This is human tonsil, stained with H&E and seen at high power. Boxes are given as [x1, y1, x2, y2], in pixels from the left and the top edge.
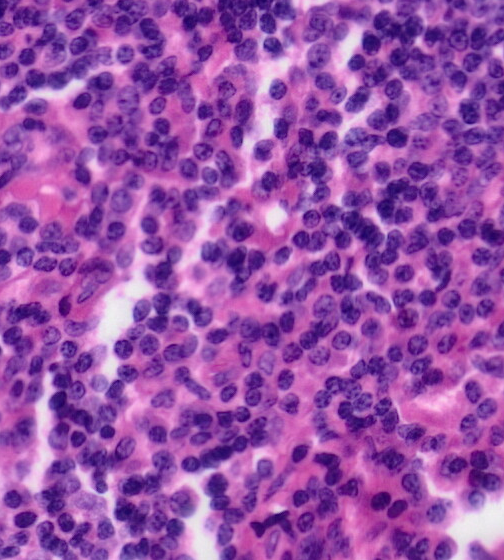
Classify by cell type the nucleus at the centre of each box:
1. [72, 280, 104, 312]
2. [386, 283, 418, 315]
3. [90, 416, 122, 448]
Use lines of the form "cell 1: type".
cell 1: endothelial cell
cell 2: plasma cell
cell 3: small lymphocyte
